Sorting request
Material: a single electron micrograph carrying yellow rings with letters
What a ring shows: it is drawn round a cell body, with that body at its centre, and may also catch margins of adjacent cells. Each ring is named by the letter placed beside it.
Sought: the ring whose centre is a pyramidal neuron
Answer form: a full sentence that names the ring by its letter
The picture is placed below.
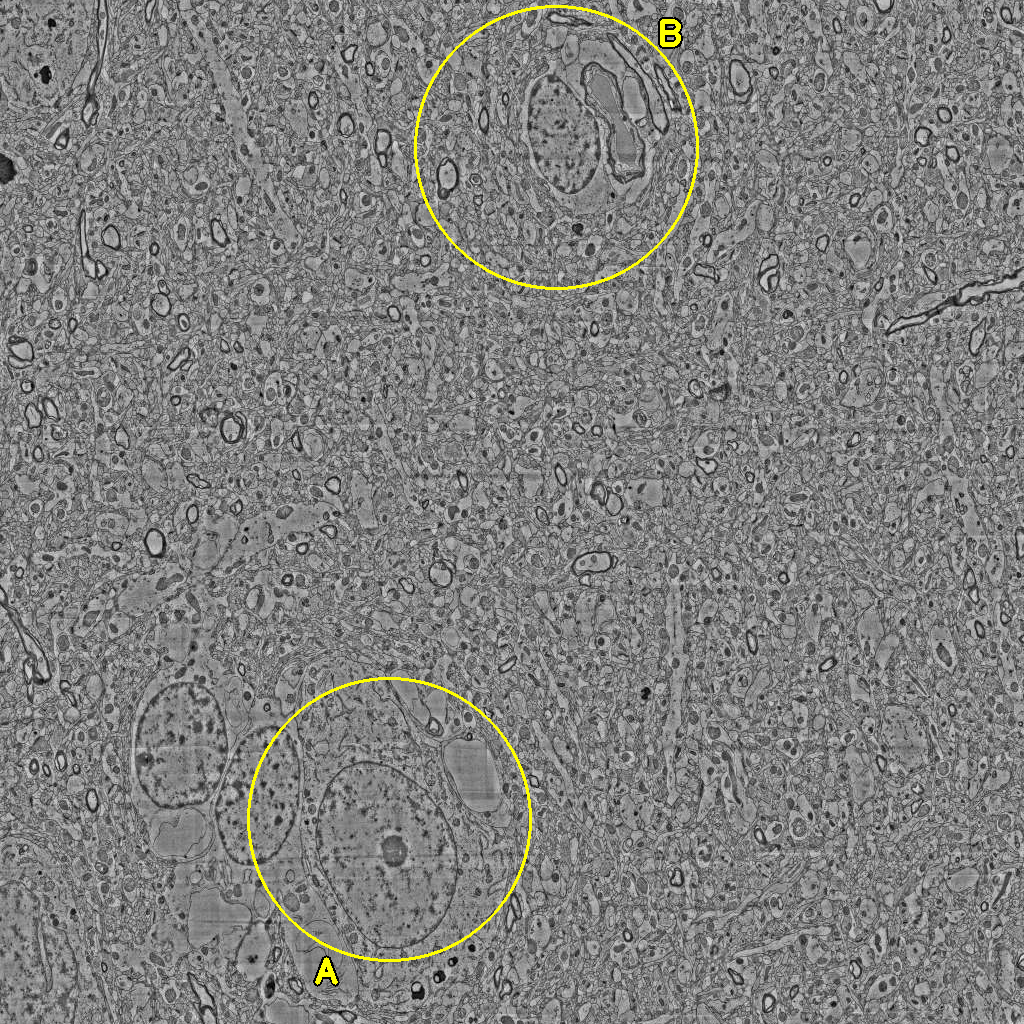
The ring centred on the cell asked for carries the letter A.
